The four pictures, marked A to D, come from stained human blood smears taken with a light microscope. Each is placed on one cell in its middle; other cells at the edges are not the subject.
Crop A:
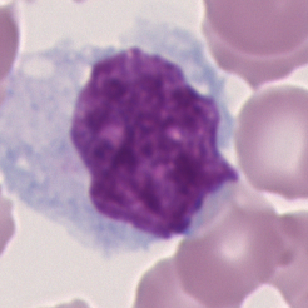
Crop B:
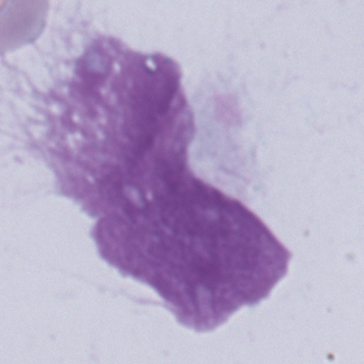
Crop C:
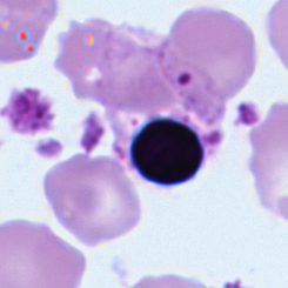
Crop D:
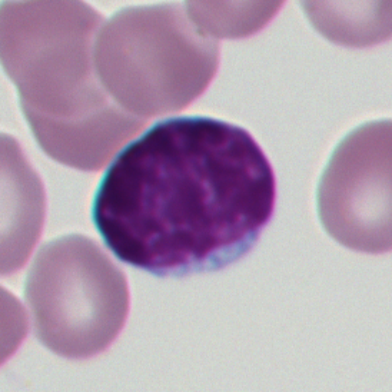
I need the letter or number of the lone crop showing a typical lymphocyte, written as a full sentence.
Crop D is the one that shows a typical lymphocyte.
